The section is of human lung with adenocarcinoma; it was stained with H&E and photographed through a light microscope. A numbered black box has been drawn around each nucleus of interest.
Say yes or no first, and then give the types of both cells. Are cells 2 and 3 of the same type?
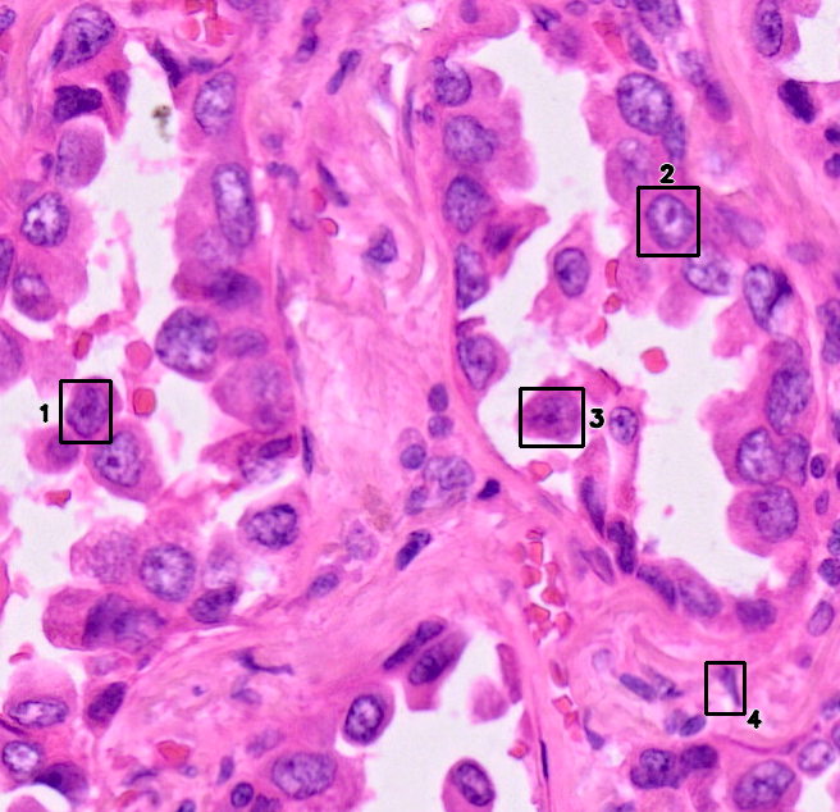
Yes, cells 2 and 3 are both carcinoma cells in this section.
